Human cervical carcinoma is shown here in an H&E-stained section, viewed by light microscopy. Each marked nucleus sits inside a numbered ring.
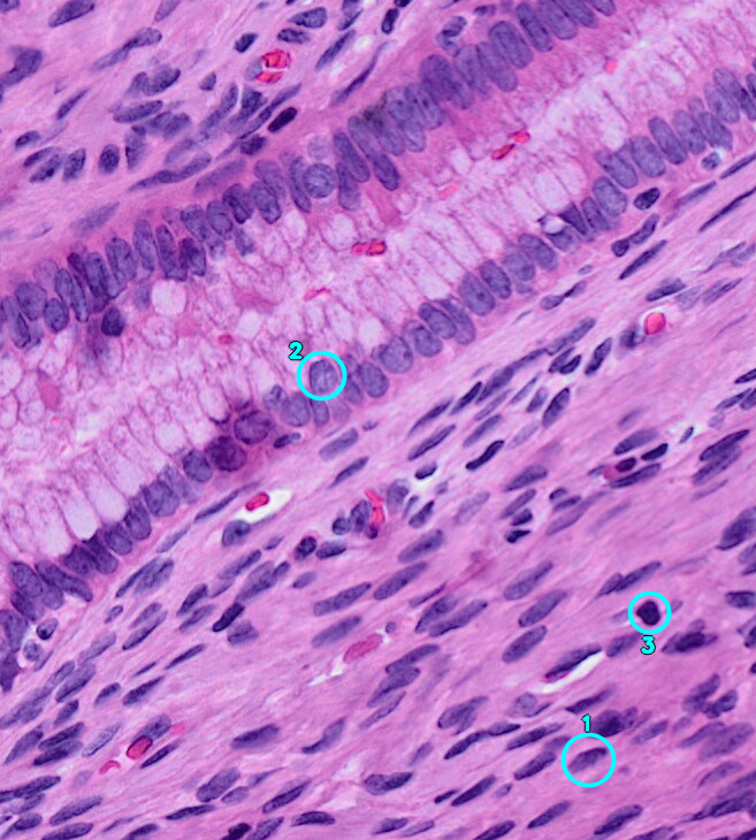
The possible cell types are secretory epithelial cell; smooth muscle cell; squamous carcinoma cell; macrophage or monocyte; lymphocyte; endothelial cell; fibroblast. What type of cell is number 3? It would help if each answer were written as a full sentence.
The identity of cell 3 is that of a lymphocyte.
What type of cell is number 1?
The cell marked with the number 1 is a fibroblast.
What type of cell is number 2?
The cell that is numbered 2 is a secretory epithelial cell.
